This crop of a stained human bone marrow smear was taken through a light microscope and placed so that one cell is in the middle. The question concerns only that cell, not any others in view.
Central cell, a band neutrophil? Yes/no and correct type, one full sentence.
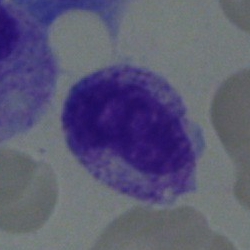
No, the cell at the centre is categorised not as a band neutrophil but as a metamyelocyte.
